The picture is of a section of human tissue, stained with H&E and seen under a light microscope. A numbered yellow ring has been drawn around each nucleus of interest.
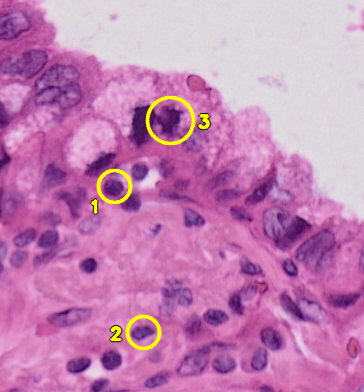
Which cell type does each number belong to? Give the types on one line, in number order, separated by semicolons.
lymphocyte; lymphocyte; carcinoma cell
